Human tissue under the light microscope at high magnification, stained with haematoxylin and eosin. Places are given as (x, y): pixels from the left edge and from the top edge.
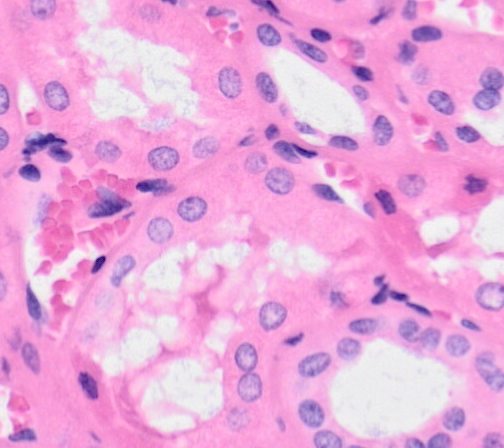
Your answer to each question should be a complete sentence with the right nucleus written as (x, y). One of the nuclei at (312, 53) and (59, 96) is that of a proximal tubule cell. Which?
The nucleus at (59, 96) is housed in a proximal tubule cell.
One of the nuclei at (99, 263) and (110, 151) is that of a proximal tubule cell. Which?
It is at (110, 151) that the nucleus of a proximal tubule cell is found.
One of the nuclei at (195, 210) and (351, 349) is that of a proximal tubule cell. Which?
Housed in a proximal tubule cell is the nucleus at (195, 210), not the other one.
